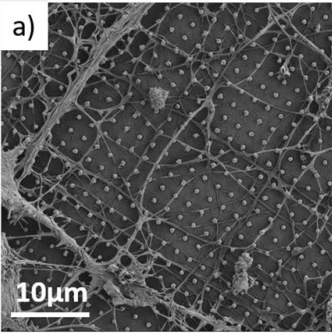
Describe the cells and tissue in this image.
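Neurites of cultured neurons lie on a substrate covered with a regular lattice of small pillars, seen as evenly spaced bright dots. Most processes are thin and fairly straight and follow the rows of the lattice. Many run in two directions roughly at right angles, giving the network a grid-like look. At the left edge thicker bundles of processes gather into a dense, tangled mass. A few small debris particles lie on the surface between the processes.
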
